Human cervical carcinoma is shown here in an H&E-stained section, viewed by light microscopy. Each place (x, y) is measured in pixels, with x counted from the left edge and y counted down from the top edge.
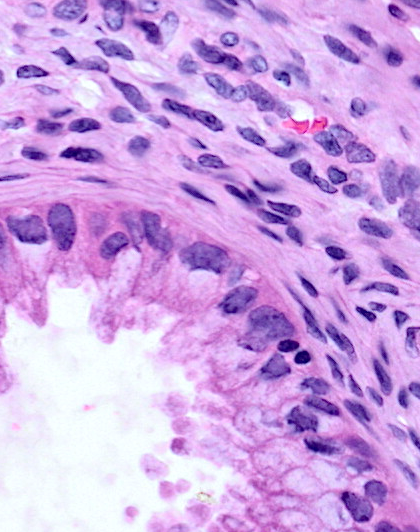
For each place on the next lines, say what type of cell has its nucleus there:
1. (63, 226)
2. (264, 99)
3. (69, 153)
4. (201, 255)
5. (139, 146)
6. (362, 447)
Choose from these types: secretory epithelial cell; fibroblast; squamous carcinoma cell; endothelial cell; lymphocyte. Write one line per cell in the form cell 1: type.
cell 1: secretory epithelial cell
cell 2: endothelial cell
cell 3: lymphocyte
cell 4: secretory epithelial cell
cell 5: fibroblast
cell 6: secretory epithelial cell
